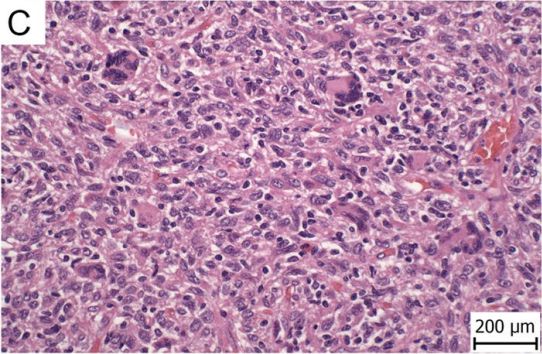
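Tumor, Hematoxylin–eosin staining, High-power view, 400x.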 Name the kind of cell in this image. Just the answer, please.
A: Large multinucleated giant cells.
